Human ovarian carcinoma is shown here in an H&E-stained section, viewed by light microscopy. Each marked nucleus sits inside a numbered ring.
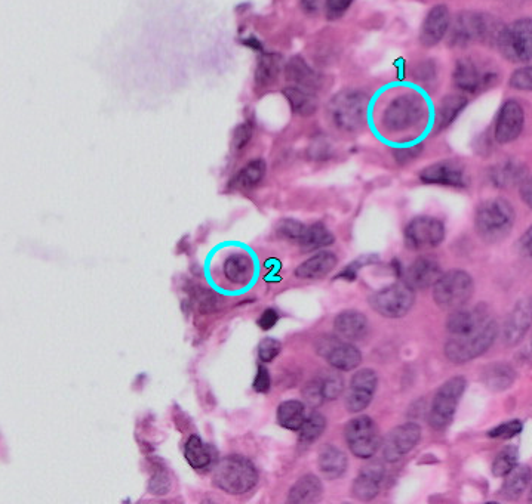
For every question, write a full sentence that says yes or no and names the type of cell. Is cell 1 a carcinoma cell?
Yes, in the section, number 1 is a carcinoma cell.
